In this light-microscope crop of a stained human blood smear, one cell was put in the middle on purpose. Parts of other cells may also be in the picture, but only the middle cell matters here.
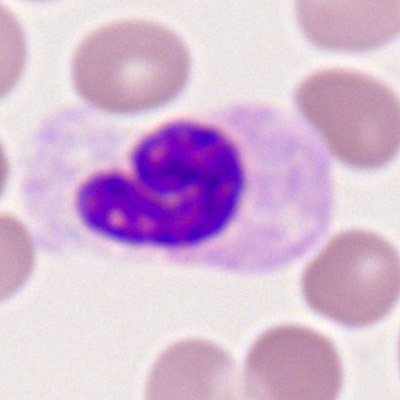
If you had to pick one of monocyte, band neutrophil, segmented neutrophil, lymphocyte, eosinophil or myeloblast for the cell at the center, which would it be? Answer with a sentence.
Within this crop, a band neutrophil occupies the central position.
